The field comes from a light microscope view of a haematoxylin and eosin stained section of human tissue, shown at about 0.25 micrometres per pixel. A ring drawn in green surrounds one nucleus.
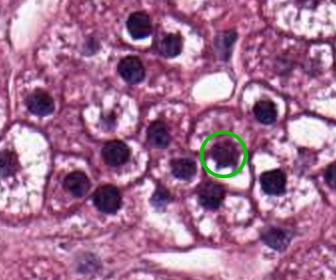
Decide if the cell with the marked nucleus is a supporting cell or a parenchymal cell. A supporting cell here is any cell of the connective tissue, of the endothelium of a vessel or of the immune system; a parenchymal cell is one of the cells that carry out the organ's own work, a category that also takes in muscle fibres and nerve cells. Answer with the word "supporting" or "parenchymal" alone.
parenchymal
